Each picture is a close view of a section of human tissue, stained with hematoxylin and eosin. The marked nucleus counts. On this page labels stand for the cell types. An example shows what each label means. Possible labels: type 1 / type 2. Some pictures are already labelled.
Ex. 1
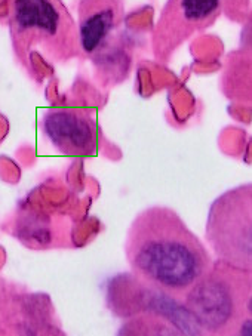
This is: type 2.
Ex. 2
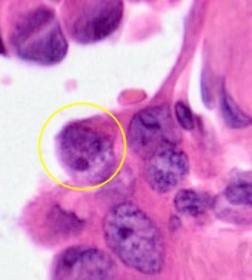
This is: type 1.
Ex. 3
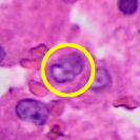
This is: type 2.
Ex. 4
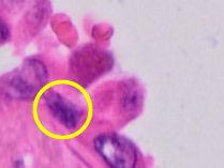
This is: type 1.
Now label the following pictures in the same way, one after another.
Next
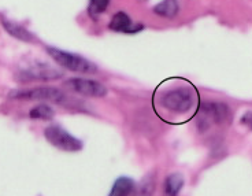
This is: type 1.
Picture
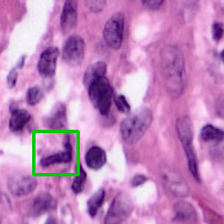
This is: type 2.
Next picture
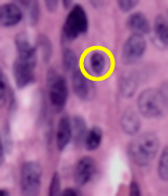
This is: type 2.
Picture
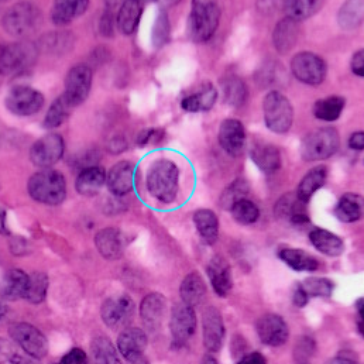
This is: type 2.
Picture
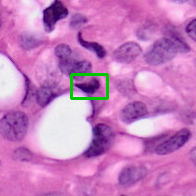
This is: type 1.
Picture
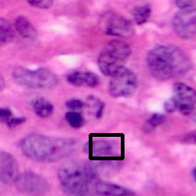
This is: type 1.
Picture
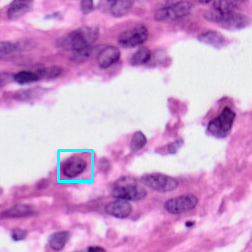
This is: type 2.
